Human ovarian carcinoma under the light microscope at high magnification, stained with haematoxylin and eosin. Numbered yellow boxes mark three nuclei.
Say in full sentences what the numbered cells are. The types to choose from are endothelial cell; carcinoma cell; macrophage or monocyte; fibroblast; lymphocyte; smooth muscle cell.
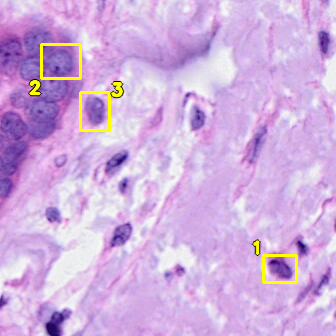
Cells 1 and 3 are macrophages or monocytes. Cell 2 is a carcinoma cell.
